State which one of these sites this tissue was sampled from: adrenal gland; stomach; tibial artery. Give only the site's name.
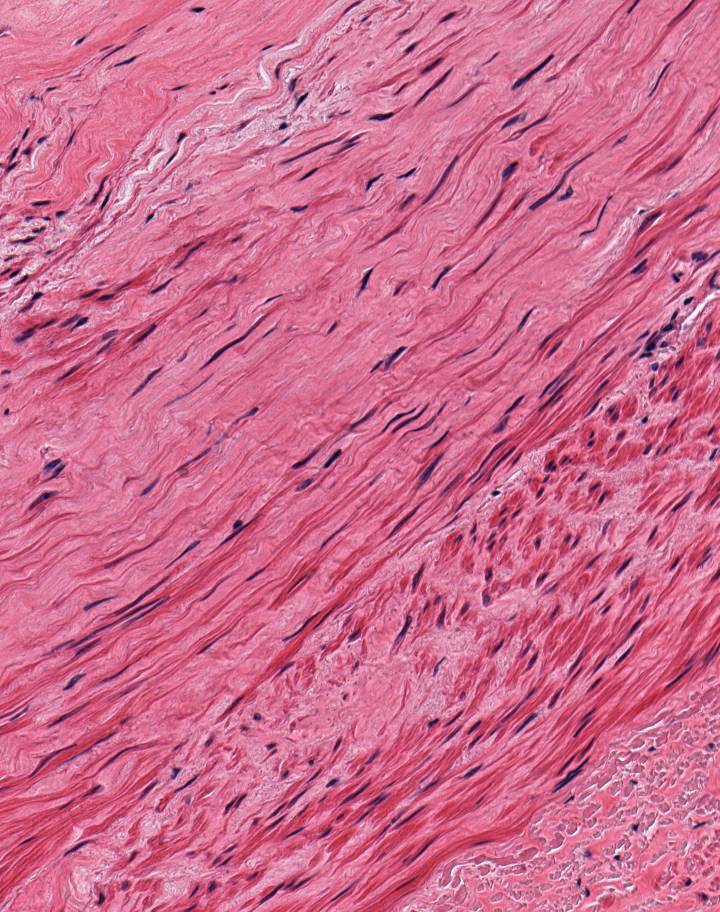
tibial artery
